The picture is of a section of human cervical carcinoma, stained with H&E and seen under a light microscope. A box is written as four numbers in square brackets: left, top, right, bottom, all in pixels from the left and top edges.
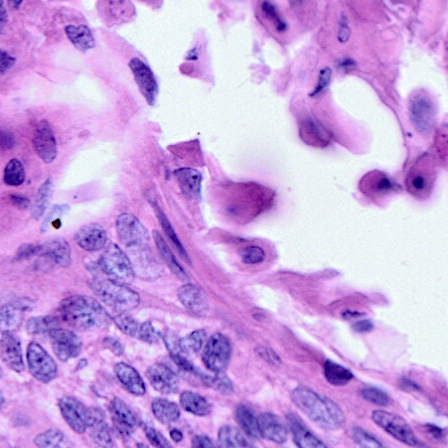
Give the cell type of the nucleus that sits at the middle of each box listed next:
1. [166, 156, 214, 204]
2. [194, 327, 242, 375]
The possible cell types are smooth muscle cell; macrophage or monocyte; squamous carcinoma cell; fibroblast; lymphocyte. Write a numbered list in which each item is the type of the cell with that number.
1. macrophage or monocyte
2. squamous carcinoma cell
